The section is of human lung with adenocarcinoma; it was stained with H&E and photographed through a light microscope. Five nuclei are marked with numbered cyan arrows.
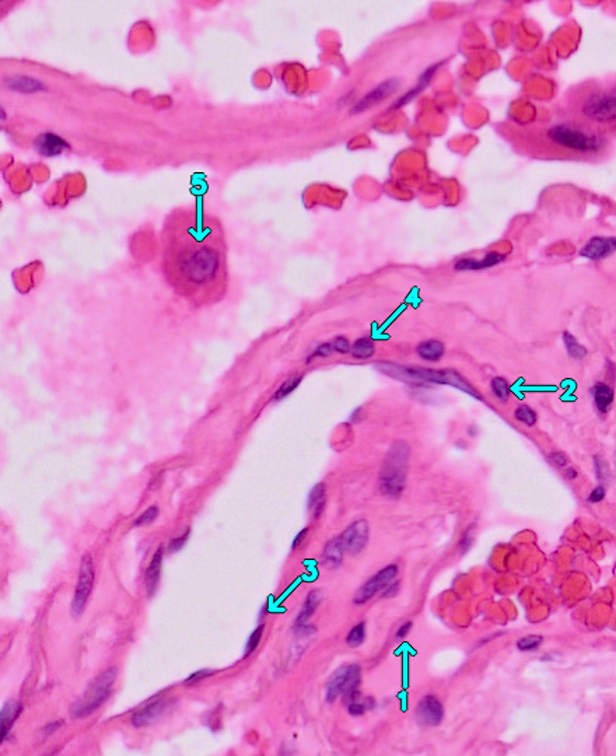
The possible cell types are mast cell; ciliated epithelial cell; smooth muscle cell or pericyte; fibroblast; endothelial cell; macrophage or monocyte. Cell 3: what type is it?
endothelial cell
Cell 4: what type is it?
smooth muscle cell or pericyte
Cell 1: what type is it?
endothelial cell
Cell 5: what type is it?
macrophage or monocyte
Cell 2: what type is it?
smooth muscle cell or pericyte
